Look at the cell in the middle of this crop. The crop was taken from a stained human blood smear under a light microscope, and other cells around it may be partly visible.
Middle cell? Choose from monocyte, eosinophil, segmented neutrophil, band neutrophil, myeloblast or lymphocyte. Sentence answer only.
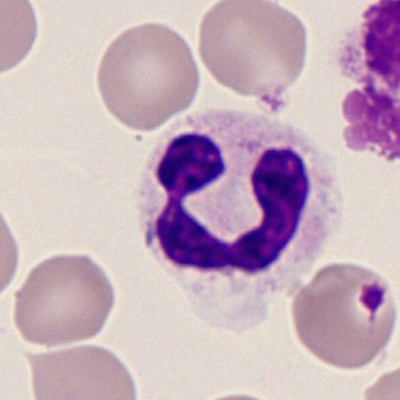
The cell featured at the centre of this crop is a segmented neutrophil.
